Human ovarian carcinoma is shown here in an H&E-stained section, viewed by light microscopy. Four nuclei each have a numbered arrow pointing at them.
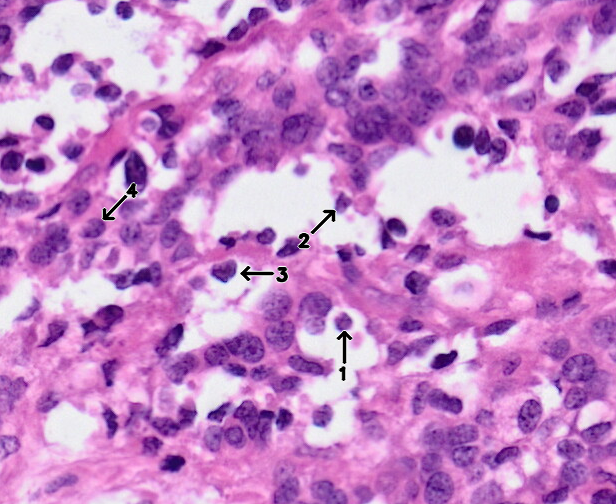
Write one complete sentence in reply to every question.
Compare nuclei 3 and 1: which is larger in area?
Nucleus 3 is larger, with an area about 1.5 times that of nucleus 1.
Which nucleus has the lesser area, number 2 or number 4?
With nucleus 4 about 1.5 times its size, nucleus 2 is the smaller of the two.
